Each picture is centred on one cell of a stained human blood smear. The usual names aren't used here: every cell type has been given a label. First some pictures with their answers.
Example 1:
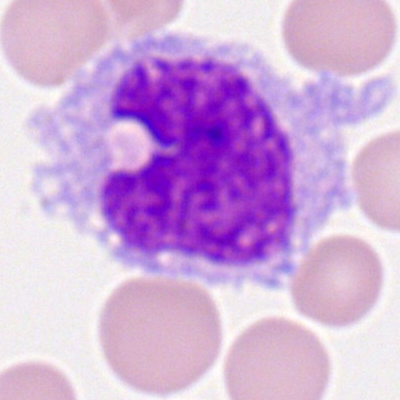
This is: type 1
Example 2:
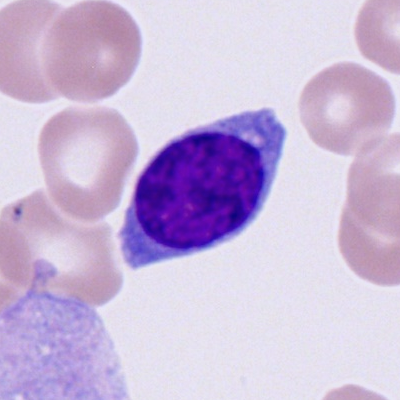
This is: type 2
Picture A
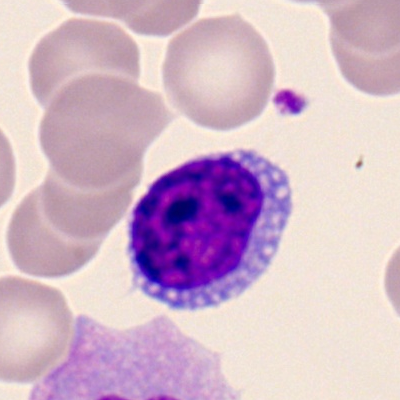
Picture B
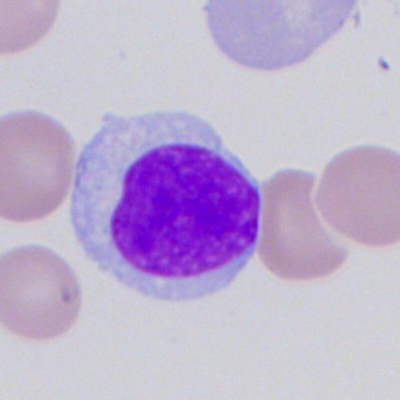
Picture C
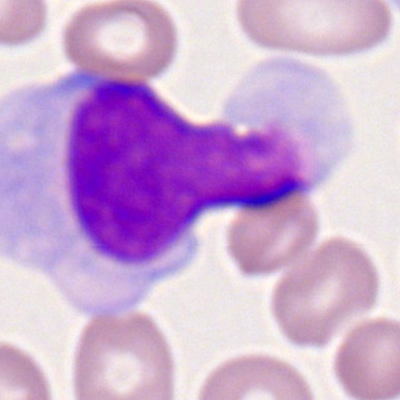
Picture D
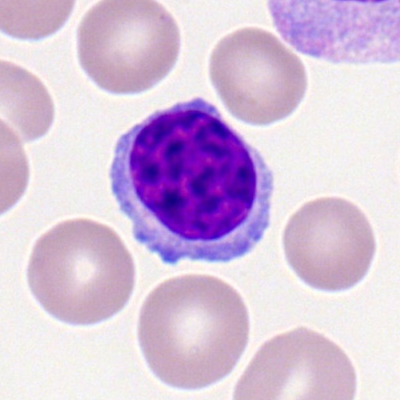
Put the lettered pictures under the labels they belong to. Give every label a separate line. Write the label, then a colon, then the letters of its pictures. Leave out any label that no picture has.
type 1: C
type 2: A, B, D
